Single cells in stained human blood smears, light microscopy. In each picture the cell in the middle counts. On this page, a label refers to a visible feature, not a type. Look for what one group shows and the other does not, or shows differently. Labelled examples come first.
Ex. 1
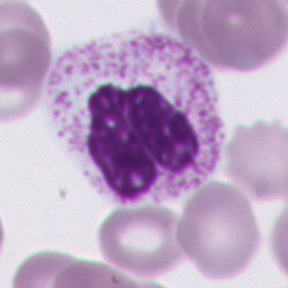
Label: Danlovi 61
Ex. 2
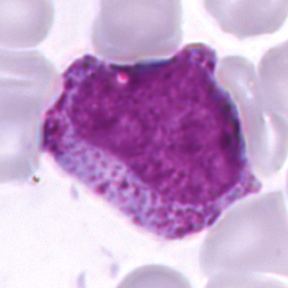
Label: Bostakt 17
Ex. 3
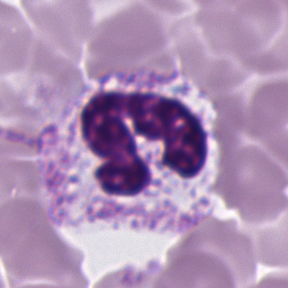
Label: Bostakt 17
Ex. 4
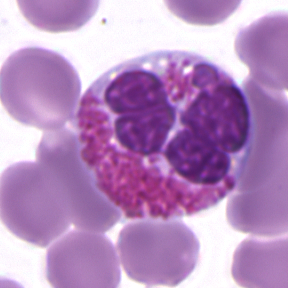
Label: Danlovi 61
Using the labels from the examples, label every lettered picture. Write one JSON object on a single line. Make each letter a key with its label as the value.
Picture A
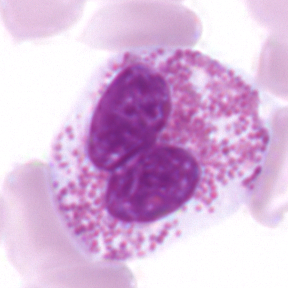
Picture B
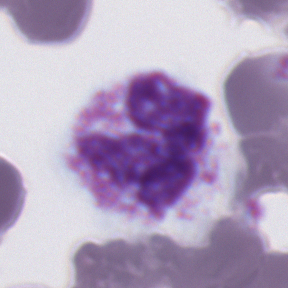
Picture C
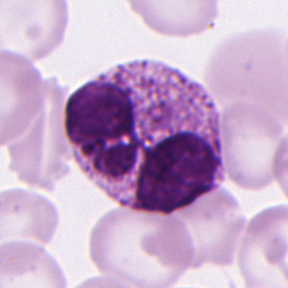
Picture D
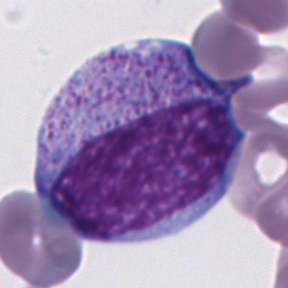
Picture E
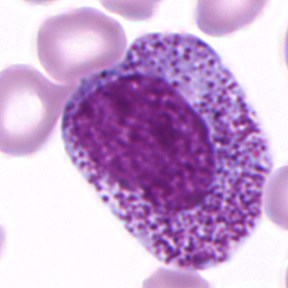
{"A": "Bostakt 17", "B": "Danlovi 61", "C": "Bostakt 17", "D": "Bostakt 17", "E": "Danlovi 61"}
